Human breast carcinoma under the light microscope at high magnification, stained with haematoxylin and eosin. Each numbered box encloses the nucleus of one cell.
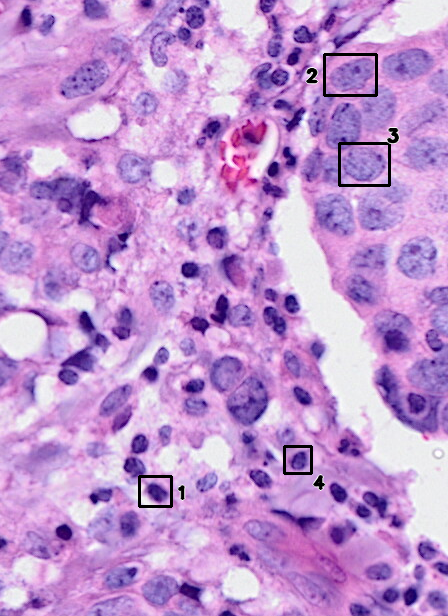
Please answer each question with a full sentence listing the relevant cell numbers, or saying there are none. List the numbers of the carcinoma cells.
The cells 2 and 3 in this section are carcinoma cells.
